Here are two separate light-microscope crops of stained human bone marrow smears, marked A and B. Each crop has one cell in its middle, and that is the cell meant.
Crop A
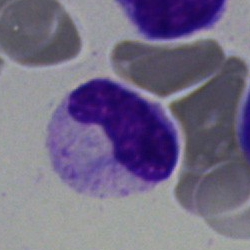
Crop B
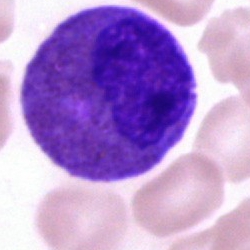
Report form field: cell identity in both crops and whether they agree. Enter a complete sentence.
No, record crop A as a band neutrophil and crop B as an eosinophil.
